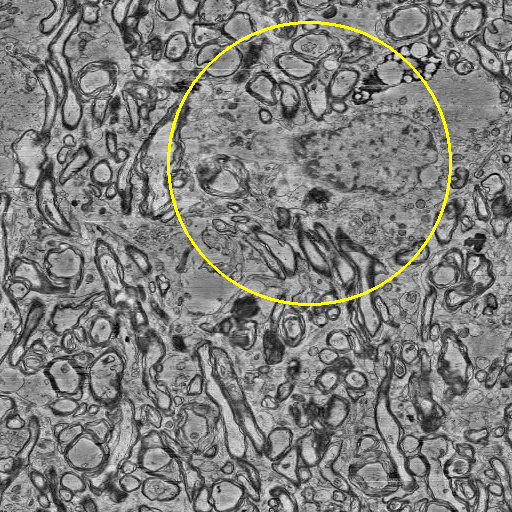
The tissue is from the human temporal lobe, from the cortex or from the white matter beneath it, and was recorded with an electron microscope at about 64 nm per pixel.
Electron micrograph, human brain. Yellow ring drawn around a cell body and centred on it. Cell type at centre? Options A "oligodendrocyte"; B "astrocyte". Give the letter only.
B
